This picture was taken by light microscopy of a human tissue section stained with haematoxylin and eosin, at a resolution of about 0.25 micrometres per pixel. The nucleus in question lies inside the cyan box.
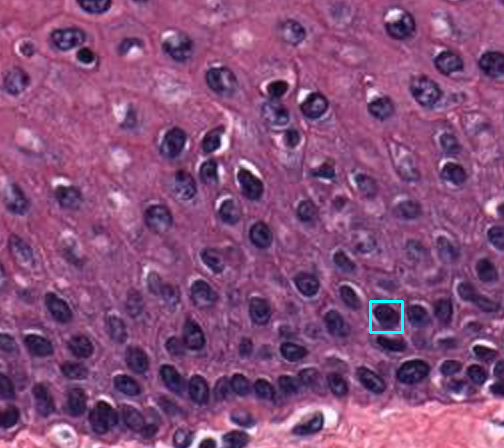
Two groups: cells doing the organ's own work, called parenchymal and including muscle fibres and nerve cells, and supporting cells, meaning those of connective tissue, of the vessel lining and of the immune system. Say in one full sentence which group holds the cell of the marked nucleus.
The nucleus marked here belongs to a parenchymal cell, namely a squamous epithelial cell.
